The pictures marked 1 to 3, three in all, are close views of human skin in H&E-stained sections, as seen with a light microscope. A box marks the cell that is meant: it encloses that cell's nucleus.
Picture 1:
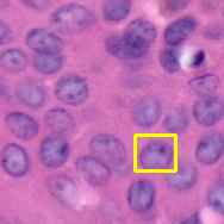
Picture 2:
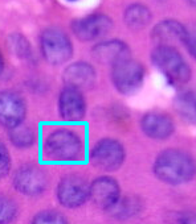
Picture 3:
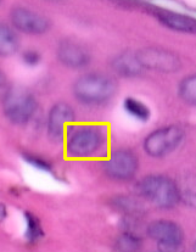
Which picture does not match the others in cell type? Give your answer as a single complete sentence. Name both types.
The others show suprabasal keratinocytes, but picture 3 shows a basal keratinocyte.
